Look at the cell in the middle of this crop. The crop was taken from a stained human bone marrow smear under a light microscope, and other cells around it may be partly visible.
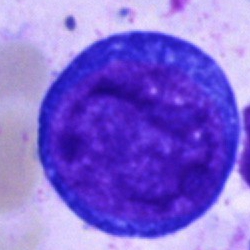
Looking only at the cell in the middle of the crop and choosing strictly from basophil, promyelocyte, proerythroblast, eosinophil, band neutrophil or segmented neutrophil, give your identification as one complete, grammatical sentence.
The middle position in this crop is taken by a proerythroblast.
